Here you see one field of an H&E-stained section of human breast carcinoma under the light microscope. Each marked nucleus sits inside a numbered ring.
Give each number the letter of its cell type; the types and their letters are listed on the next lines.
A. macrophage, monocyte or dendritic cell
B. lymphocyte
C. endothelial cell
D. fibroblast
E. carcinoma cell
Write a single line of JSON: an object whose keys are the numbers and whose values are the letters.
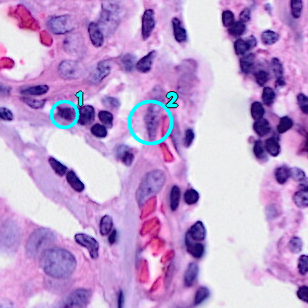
{"1": "B", "2": "C"}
